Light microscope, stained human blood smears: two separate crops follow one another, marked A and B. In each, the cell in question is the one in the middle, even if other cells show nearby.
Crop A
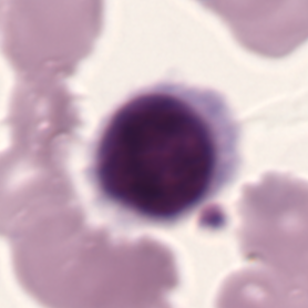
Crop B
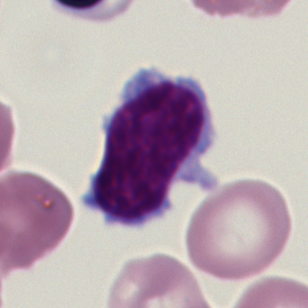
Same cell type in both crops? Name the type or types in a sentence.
No, crop A depicts a hairy cell; crop B depicts a typical lymphocyte.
